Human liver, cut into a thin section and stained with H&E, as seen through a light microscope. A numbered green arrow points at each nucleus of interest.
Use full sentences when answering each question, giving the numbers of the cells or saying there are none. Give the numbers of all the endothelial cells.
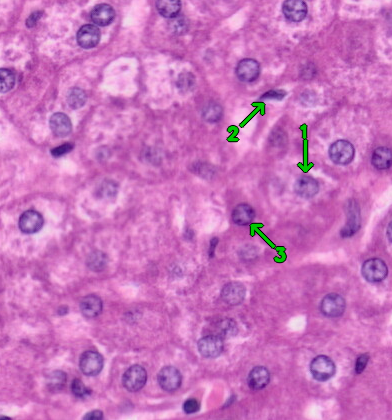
Cell 2 is the only one of the numbered cells that is an endothelial cell.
